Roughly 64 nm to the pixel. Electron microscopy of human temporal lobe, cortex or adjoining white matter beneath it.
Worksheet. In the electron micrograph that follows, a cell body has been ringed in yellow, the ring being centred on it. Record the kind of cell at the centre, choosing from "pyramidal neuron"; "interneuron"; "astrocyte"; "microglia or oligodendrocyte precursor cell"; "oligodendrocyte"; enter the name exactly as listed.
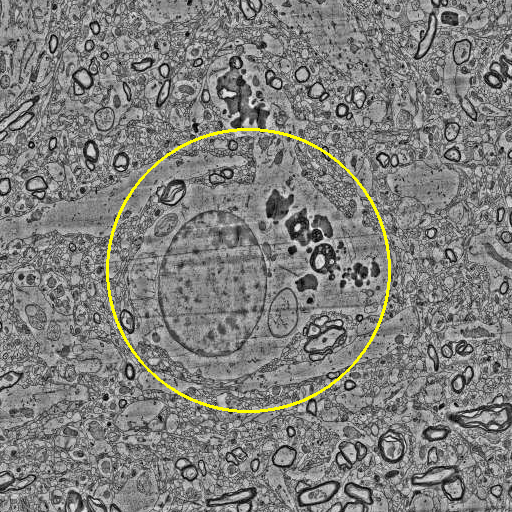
astrocyte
